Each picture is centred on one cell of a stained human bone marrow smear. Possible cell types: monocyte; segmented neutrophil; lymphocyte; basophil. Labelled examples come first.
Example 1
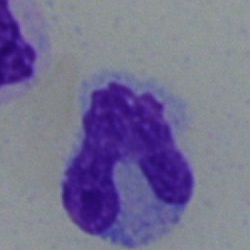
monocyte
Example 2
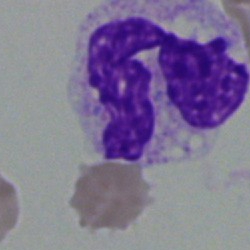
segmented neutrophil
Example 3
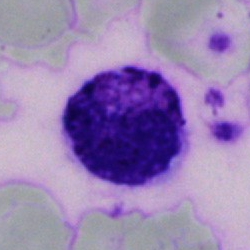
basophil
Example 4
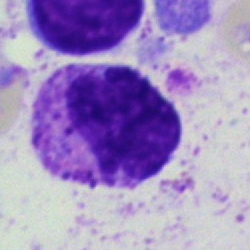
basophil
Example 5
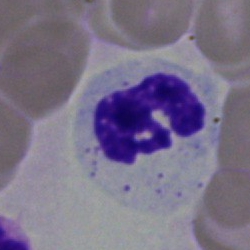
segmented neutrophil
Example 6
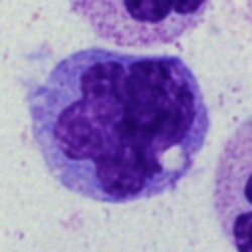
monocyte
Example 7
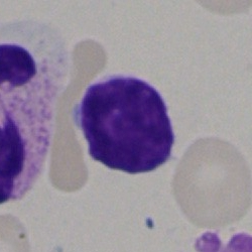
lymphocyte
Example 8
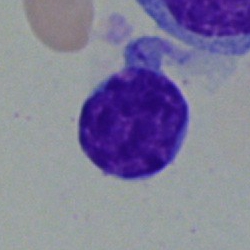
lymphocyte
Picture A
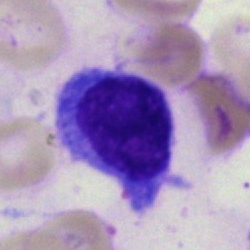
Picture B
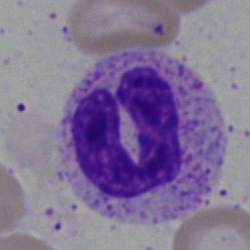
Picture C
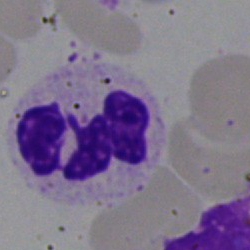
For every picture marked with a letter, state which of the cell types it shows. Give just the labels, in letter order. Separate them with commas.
lymphocyte, segmented neutrophil, segmented neutrophil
